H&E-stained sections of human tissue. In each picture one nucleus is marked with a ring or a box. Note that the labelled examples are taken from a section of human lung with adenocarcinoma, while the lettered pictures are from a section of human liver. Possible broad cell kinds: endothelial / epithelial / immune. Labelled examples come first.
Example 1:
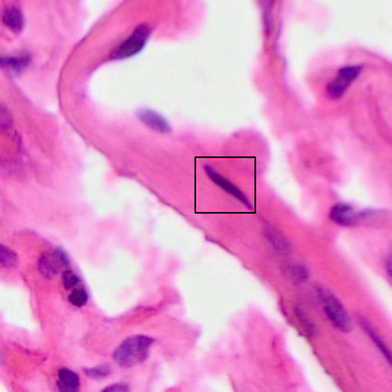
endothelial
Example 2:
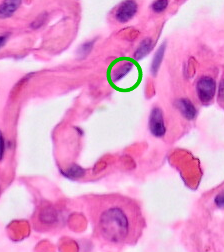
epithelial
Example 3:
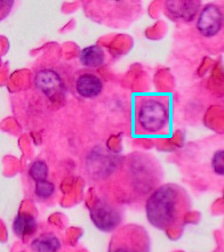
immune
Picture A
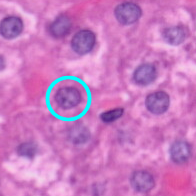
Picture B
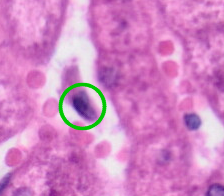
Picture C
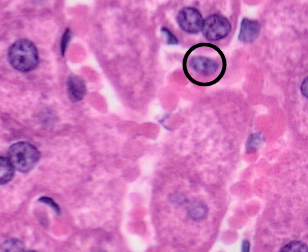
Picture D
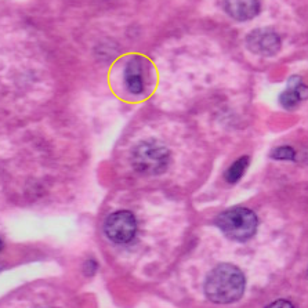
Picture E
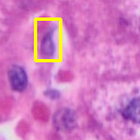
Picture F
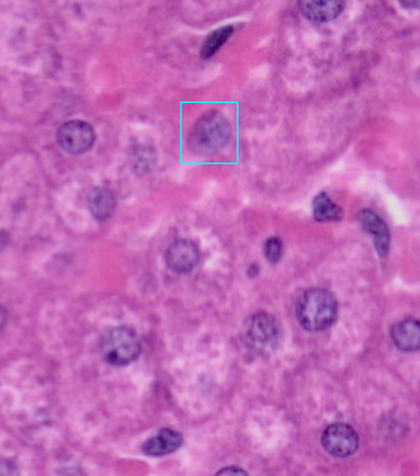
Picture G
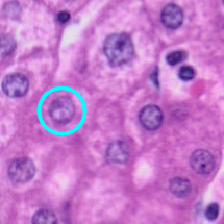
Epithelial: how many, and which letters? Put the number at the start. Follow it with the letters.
2: A, G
